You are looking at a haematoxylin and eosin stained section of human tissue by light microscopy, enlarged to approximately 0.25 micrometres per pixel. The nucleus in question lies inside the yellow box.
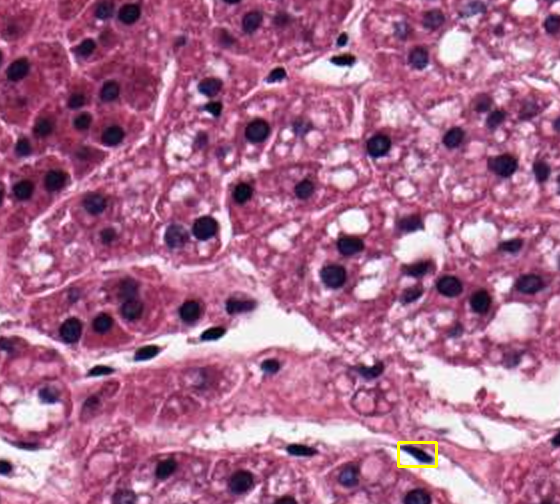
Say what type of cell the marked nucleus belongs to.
endothelial cell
